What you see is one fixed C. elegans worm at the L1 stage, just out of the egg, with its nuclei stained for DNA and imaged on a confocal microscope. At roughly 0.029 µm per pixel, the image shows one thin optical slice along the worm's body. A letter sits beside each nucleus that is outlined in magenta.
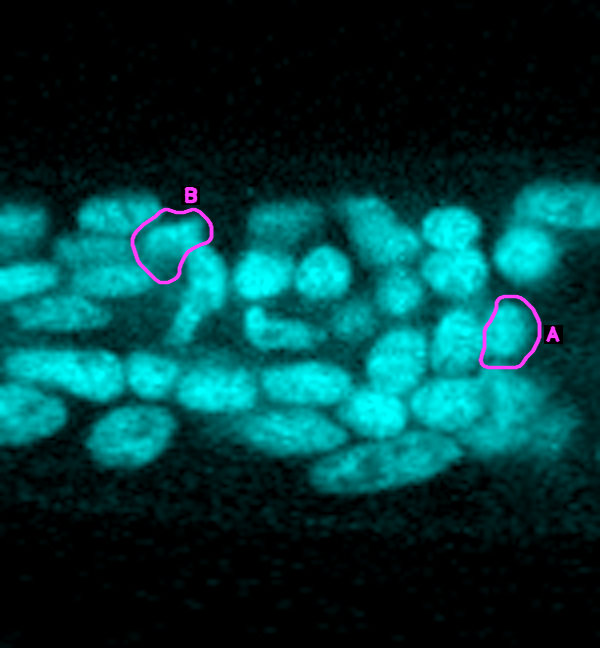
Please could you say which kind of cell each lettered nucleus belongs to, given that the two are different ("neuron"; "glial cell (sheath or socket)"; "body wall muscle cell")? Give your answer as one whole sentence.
Nucleus A comes from a neuron and nucleus B from a glial cell (sheath or socket).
